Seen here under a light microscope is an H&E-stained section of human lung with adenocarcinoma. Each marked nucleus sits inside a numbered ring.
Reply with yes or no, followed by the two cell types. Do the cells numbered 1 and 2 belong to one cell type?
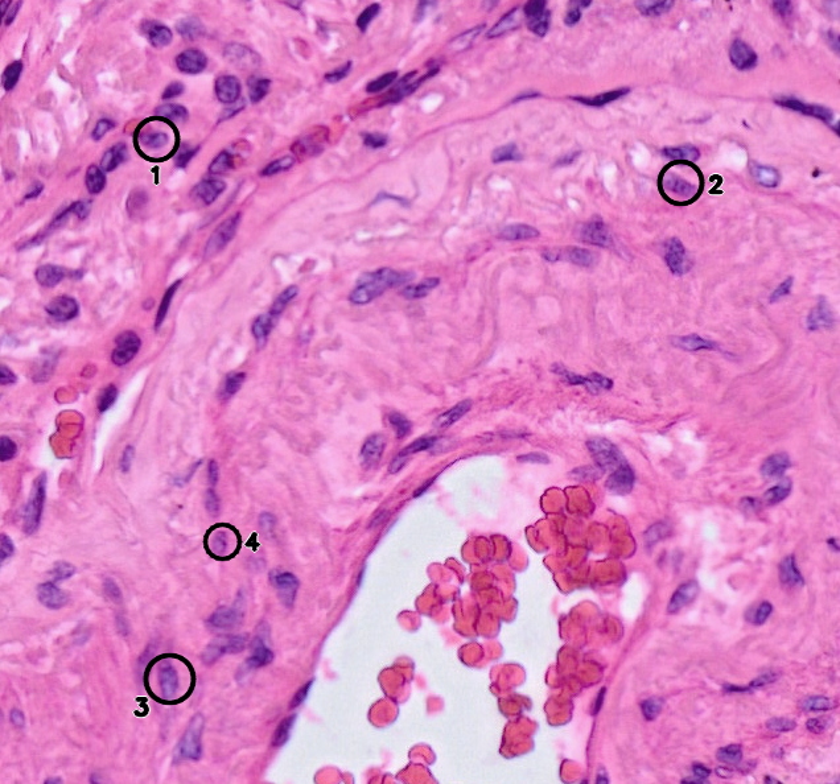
No, sorry to say, cell 1 is a lymphocyte and cell 2 is a smooth muscle cell or pericyte.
